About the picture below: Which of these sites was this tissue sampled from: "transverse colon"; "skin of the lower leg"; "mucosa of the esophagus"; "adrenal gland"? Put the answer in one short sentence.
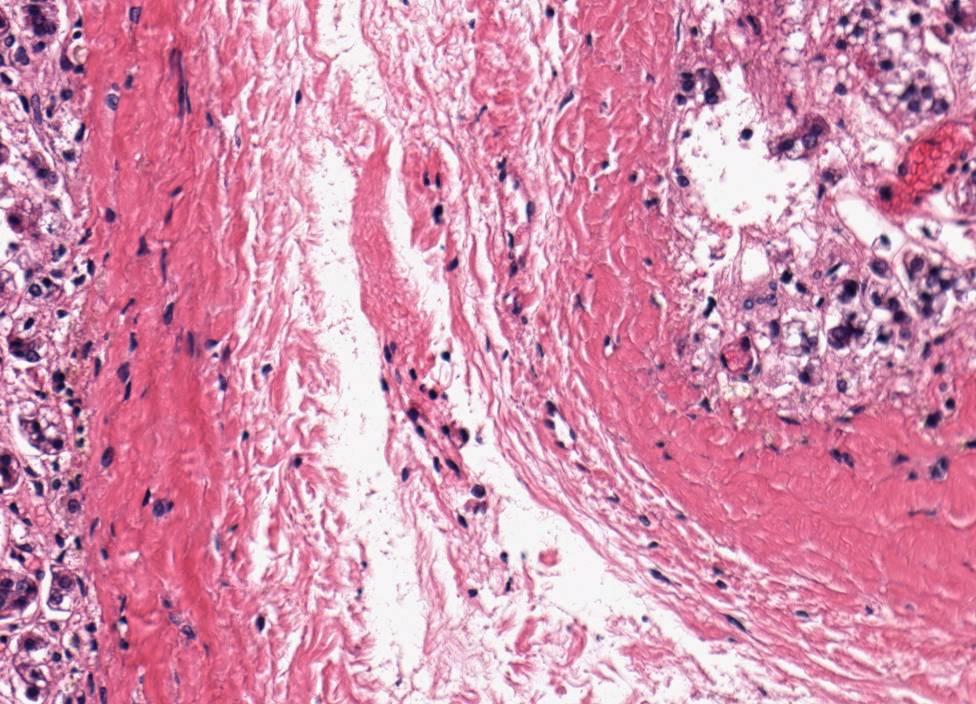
The site this tissue was sampled from is the adrenal gland.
